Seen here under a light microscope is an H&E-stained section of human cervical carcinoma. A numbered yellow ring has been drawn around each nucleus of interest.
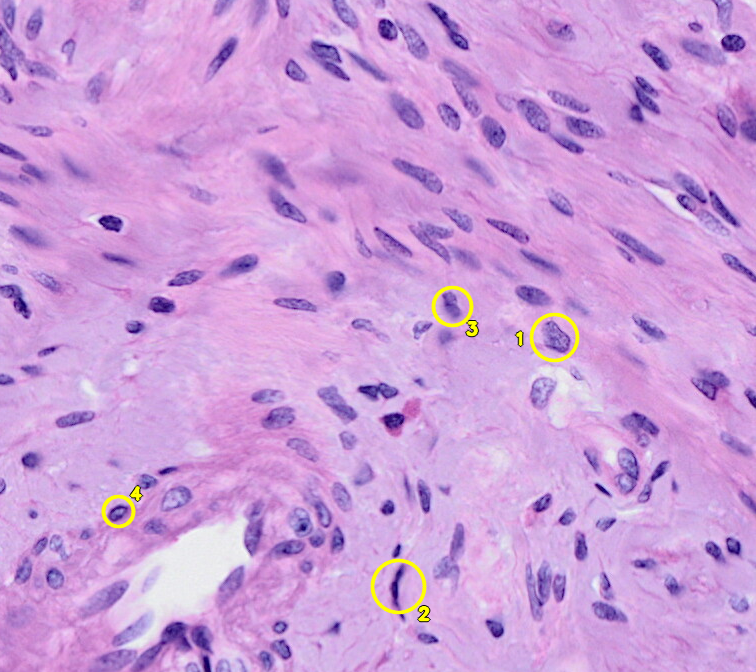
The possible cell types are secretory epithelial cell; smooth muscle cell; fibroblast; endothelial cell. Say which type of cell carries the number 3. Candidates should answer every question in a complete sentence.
The nucleus with number 3 is that of a fibroblast.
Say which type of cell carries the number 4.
The nucleus with number 4 is that of a smooth muscle cell.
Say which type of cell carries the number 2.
The cell that carries the label 2 is a fibroblast.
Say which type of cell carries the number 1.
In this section, the cell numbered 1 is a fibroblast.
